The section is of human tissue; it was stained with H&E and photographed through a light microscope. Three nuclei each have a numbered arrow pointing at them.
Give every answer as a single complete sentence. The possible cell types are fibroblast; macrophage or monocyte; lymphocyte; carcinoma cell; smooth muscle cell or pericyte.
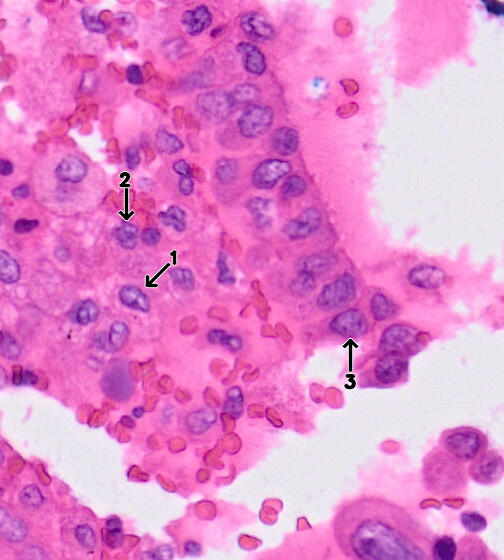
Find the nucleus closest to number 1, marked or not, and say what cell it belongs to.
Number 1 lies closest to the nucleus of a macrophage or monocyte.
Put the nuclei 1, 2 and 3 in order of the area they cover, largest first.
From largest to smallest, the order is 3, 1, 2.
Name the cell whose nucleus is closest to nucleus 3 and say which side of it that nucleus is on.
A carcinoma cell lies closest, above and to the left of nucleus 3.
